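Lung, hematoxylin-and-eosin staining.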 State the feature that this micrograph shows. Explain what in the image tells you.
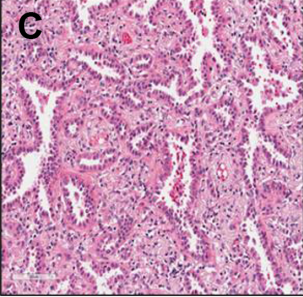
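Tumour cells line many branching gland-like spaces with open lumens.
Hence: acinar pattern.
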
